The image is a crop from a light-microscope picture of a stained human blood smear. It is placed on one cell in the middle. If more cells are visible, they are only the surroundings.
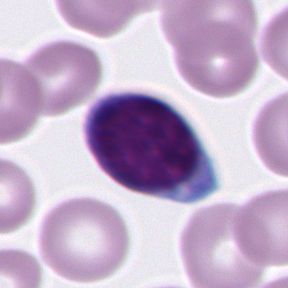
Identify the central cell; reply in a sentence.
This crop is built around a typical lymphocyte at its centre.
